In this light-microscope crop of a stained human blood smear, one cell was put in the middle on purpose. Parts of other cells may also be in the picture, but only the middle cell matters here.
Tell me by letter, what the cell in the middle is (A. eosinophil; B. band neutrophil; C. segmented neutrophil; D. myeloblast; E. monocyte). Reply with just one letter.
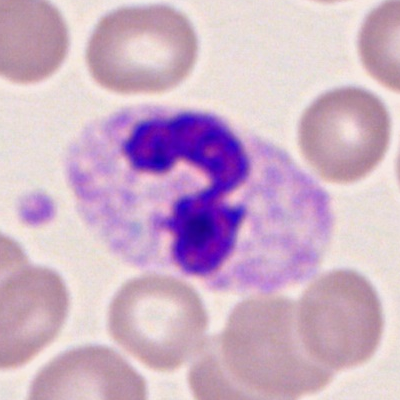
C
